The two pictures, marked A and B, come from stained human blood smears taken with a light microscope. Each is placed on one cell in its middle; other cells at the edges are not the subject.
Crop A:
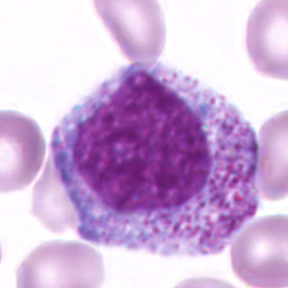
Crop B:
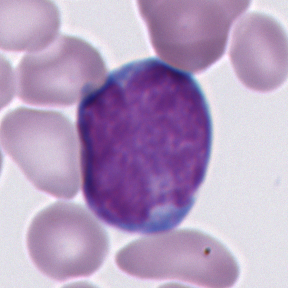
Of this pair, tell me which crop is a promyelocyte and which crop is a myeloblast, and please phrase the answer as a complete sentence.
Crop A is to be read as a promyelocyte and crop B as a myeloblast.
